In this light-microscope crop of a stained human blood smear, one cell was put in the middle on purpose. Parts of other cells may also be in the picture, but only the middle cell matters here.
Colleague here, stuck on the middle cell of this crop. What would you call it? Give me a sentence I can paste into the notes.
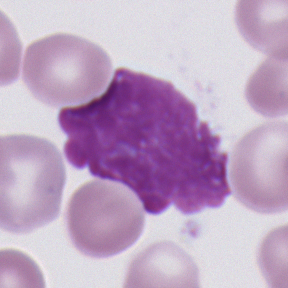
The cell featured at the centre of this crop is a smudge cell.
